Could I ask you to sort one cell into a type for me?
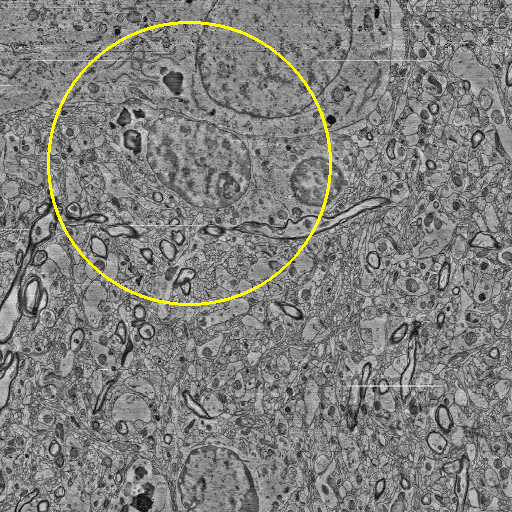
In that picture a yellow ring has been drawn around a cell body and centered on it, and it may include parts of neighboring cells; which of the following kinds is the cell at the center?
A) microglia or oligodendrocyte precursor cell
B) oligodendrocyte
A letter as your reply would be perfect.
B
